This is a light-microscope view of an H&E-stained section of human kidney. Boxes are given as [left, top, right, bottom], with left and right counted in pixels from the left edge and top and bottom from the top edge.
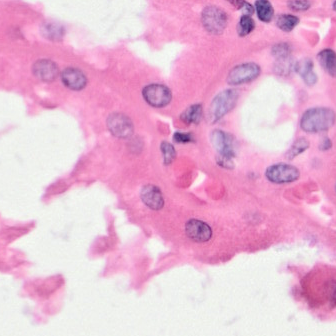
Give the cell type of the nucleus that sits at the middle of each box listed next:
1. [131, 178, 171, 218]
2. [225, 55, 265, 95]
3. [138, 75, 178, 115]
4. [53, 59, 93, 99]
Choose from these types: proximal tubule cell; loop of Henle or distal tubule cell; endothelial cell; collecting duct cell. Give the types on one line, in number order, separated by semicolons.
proximal tubule cell; collecting duct cell; proximal tubule cell; proximal tubule cell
